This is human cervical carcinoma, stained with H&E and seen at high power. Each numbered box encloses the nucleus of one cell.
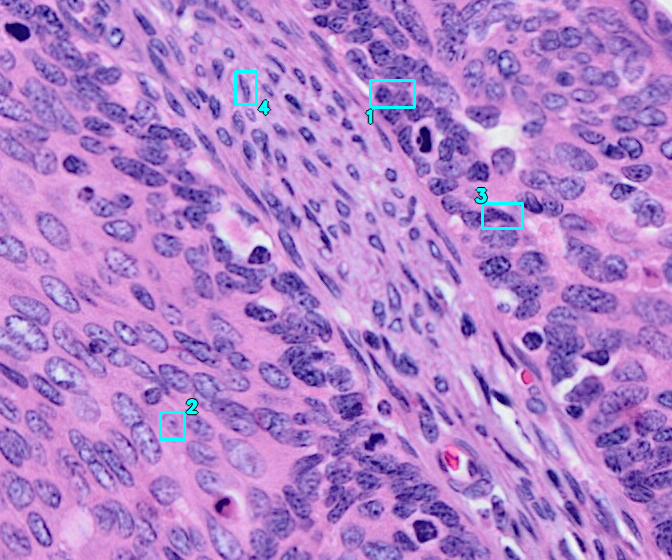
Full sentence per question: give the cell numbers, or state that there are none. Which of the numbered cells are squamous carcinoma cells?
Within this tissue, the cells numbered 1, 2 and 3 are squamous carcinoma cells.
